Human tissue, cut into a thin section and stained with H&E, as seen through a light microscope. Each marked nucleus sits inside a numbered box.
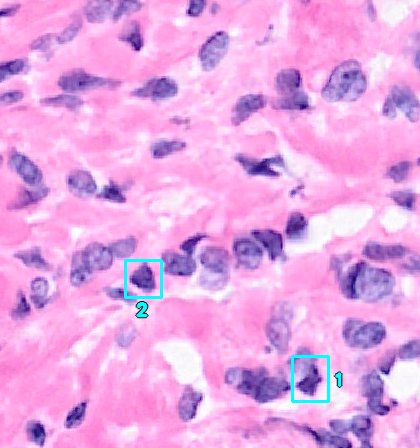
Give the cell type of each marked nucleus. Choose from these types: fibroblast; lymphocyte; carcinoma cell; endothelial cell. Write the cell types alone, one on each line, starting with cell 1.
carcinoma cell
lymphocyte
